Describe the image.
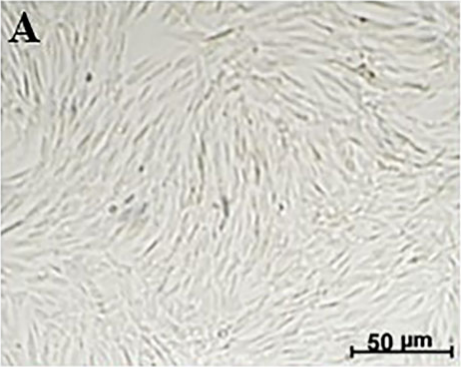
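The cells are slender and spindle-shaped. They lie packed side by side in parallel bundles that sweep in swirling streams across the field. No stained material or droplets are seen. The cytoplasm appears pale grey and the cell outlines are fine and elongated.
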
